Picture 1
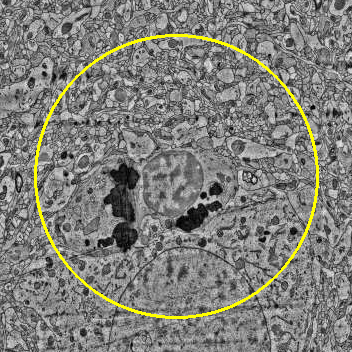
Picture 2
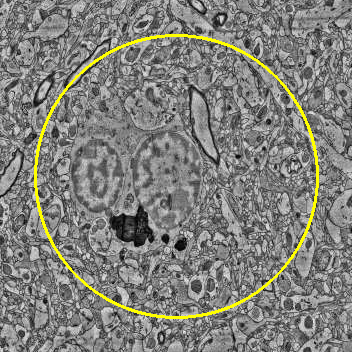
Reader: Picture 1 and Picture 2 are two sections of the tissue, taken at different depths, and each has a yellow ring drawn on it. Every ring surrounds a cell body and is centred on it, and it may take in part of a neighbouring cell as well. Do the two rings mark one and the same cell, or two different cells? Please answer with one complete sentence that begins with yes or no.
No, the rings identify two cells, not one shared cell.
